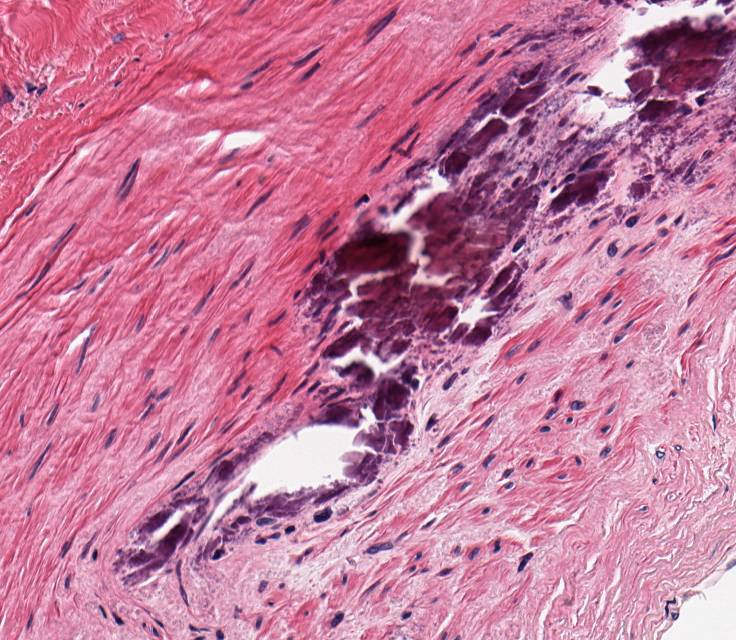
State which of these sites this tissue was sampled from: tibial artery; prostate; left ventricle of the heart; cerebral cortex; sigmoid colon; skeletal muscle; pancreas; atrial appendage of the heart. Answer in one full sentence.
The tissue seen in this section was sampled from the tibial artery.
